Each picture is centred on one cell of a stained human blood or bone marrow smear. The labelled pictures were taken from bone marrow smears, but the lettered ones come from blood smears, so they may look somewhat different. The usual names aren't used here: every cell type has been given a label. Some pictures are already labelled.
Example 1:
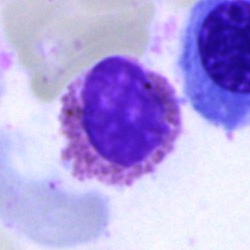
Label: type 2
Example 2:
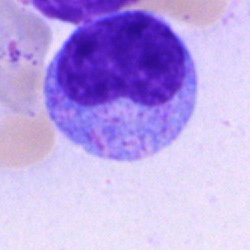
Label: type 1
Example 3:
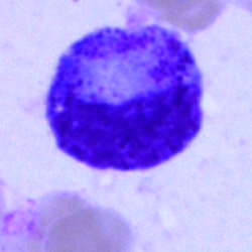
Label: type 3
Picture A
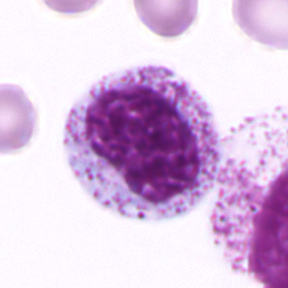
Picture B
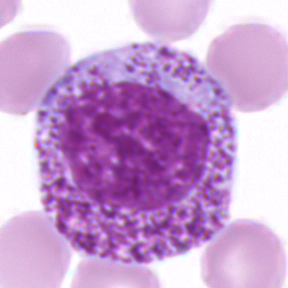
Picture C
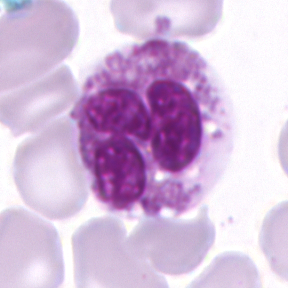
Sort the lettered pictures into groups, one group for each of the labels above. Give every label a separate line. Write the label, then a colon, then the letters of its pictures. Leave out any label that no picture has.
type 2: C
type 1: B
type 3: A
